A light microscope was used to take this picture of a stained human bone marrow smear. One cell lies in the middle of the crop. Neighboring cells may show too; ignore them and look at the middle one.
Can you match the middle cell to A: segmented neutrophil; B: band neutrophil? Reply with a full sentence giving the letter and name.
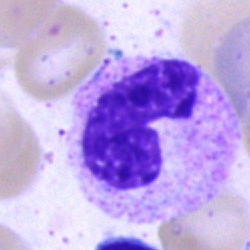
The cell in the middle is a band neutrophil, and so option B is correct.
